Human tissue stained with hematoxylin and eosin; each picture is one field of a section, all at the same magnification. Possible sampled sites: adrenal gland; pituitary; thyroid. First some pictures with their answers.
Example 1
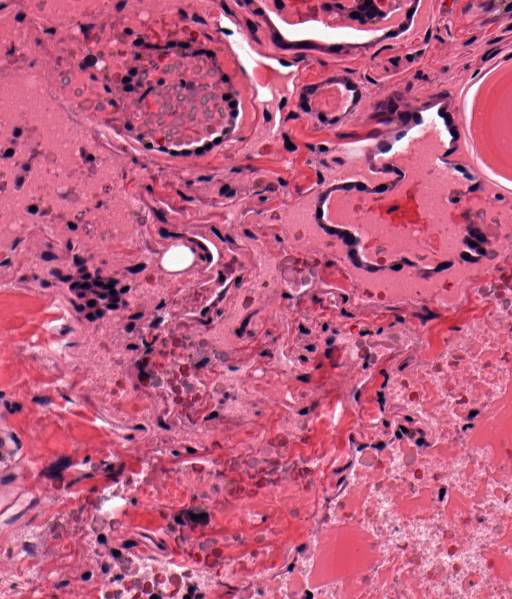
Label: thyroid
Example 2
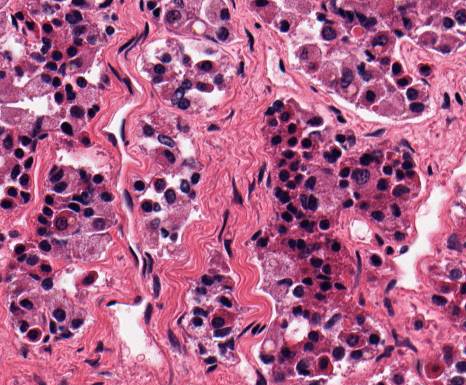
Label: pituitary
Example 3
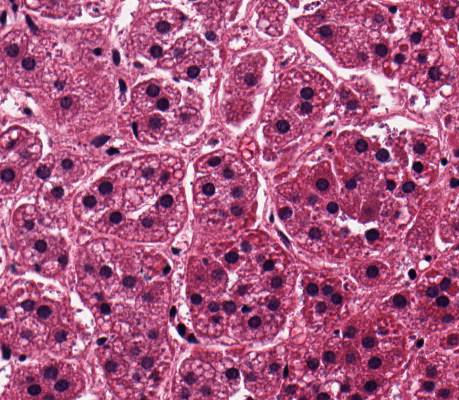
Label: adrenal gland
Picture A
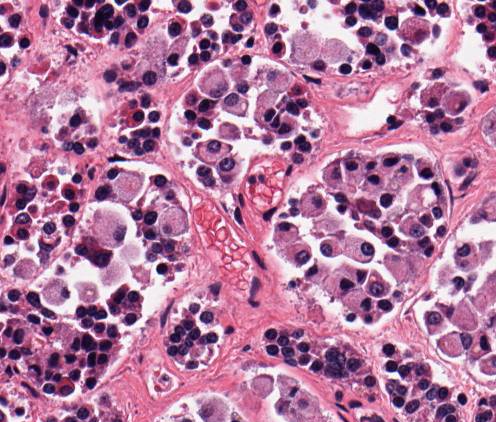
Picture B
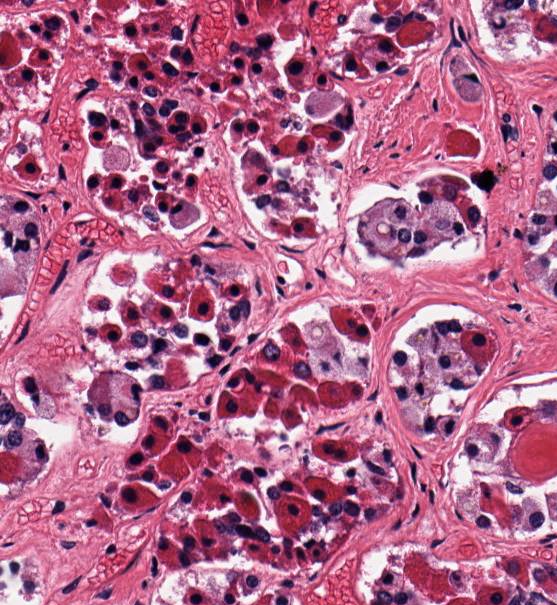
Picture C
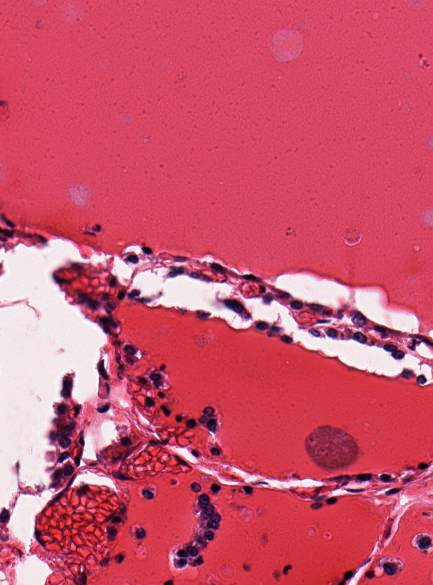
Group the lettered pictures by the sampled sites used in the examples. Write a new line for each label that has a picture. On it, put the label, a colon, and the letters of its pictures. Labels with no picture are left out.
pituitary: A, B
thyroid: C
